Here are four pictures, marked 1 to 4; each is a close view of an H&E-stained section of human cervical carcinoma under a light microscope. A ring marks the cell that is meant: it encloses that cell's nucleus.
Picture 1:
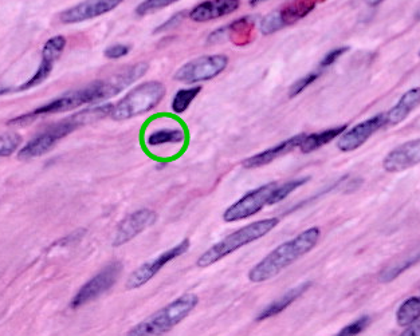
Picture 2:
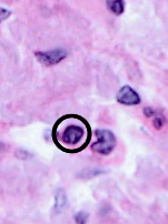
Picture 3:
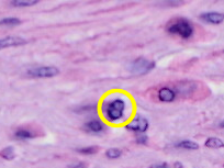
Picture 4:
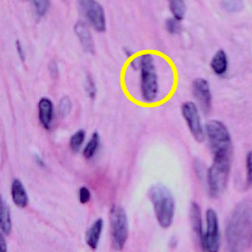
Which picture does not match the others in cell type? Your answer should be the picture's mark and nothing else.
4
